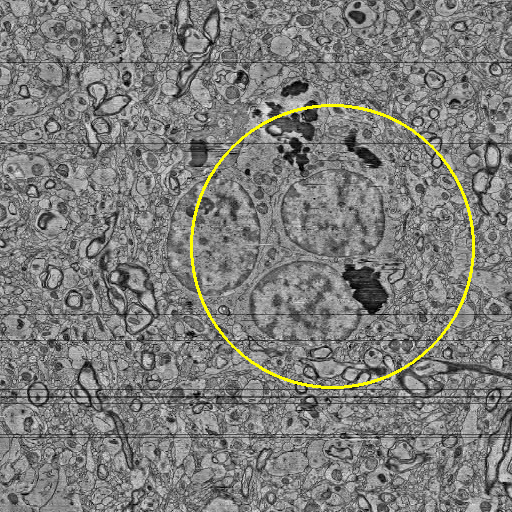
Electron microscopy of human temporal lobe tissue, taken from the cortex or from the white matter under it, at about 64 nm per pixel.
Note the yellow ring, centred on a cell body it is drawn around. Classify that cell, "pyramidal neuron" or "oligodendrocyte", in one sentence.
The cell the ring is centred on is an oligodendrocyte.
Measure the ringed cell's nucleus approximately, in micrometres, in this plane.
The nucleus is approximately 7 micrometers long by 6 micrometers wide in this plane.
